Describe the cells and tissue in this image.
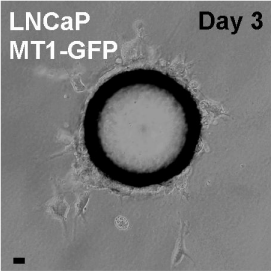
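A large round bead with a thick dark rim and a pale interior sits in the middle of a pale gel. Its outer edge is covered by a rim of cells, and from there several cells extend into the surrounding gel. These outlying cells are flattened or elongated, some with thin processes, and a few lie well apart from the bead.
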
